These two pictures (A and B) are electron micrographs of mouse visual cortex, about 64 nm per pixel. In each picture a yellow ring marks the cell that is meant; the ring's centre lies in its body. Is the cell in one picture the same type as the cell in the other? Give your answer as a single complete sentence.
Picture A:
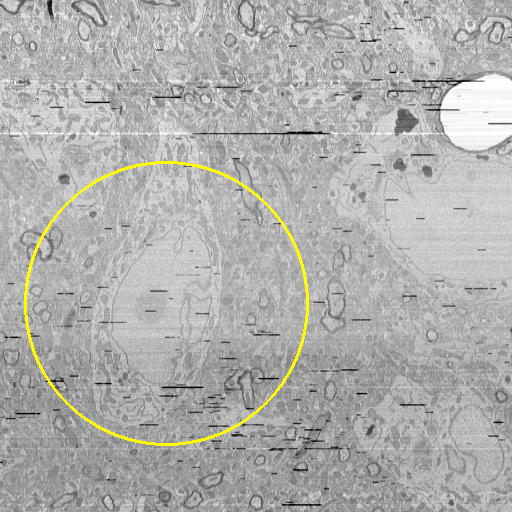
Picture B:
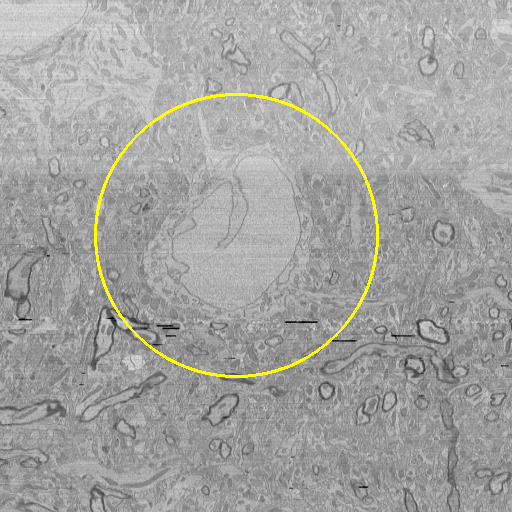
No, they differ: the cell is an inhibitory neuron in picture A and an excitatory neuron in picture B.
